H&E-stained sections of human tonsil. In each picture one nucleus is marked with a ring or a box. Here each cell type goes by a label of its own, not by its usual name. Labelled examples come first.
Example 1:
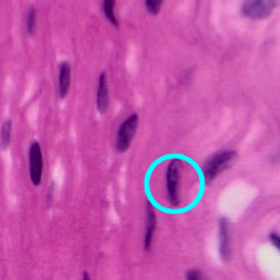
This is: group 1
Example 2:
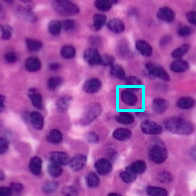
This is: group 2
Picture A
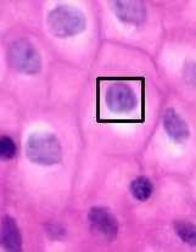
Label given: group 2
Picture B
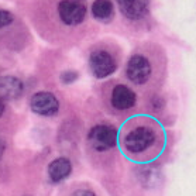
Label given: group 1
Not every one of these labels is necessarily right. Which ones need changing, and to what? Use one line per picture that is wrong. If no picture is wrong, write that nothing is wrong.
Wrong: A (group 2); correct: group 1
Wrong: B (group 1); correct: group 2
